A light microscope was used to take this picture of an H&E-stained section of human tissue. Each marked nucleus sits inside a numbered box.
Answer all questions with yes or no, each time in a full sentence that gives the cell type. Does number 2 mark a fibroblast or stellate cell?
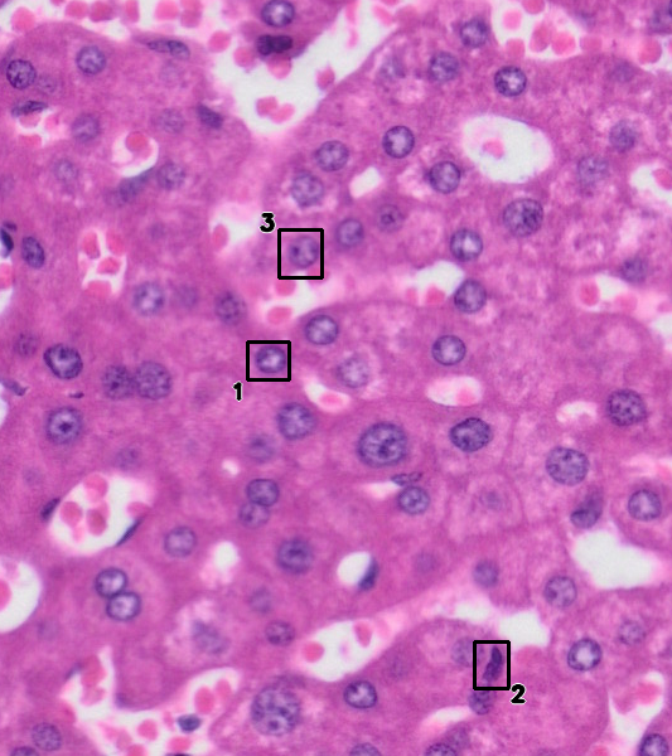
Yes, the cell at the mark numbered 2 is a fibroblast or stellate cell.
